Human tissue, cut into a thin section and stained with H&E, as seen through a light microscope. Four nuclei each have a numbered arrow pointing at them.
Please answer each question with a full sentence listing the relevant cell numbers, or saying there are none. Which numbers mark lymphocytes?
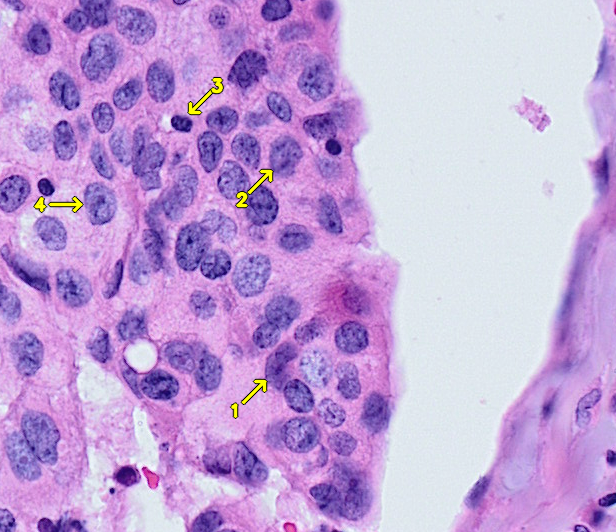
Cell 3 is a lymphocyte, which is true of none of the other numbered cells.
